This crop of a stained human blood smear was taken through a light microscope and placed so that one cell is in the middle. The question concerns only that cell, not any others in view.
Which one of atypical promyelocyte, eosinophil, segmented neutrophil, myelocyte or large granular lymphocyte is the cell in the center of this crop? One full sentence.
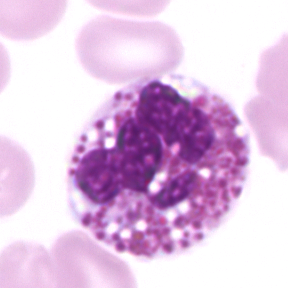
As for the central cell, it is an eosinophil.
